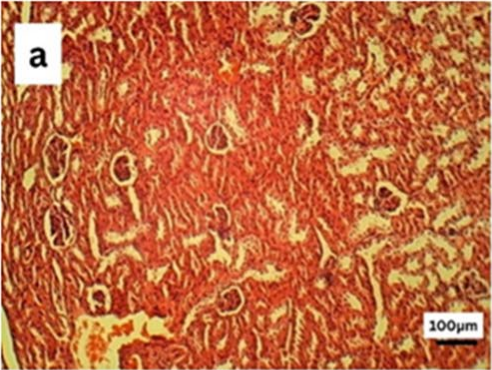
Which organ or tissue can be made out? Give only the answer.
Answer: Kidneys.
